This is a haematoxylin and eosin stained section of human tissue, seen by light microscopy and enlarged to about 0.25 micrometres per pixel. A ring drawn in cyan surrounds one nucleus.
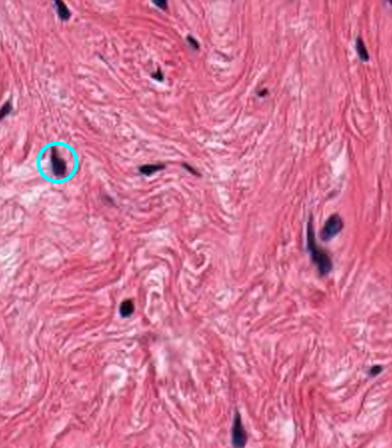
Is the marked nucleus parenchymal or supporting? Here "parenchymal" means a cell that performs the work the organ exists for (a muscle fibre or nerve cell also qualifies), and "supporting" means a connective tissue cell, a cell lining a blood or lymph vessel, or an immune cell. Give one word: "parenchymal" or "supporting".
supporting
